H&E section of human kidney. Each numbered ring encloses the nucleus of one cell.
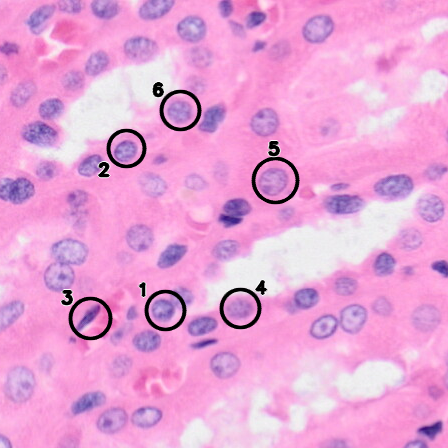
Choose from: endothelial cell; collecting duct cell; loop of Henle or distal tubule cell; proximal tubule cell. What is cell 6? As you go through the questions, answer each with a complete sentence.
The cell that goes by number 6 is a loop of Henle or distal tubule cell.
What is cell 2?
The cell that bears the number 2 is a loop of Henle or distal tubule cell.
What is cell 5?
The cell marked with number 5 is a proximal tubule cell.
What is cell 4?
Cell 4 in the field is a loop of Henle or distal tubule cell.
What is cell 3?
The marked cell with the number 3 is recognised as an endothelial cell.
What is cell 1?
The one labeled 1 is a loop of Henle or distal tubule cell, to put it simply.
